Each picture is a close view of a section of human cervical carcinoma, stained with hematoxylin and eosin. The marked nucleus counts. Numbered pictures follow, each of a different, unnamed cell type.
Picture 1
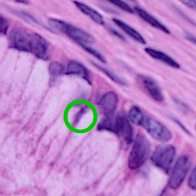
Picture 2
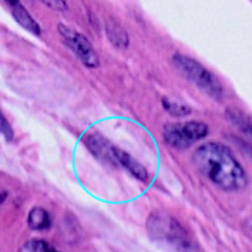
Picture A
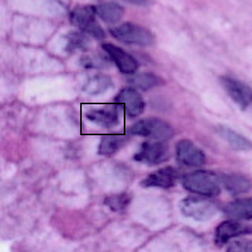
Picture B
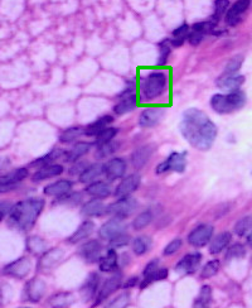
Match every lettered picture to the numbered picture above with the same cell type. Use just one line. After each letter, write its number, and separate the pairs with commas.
A 1, B 1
